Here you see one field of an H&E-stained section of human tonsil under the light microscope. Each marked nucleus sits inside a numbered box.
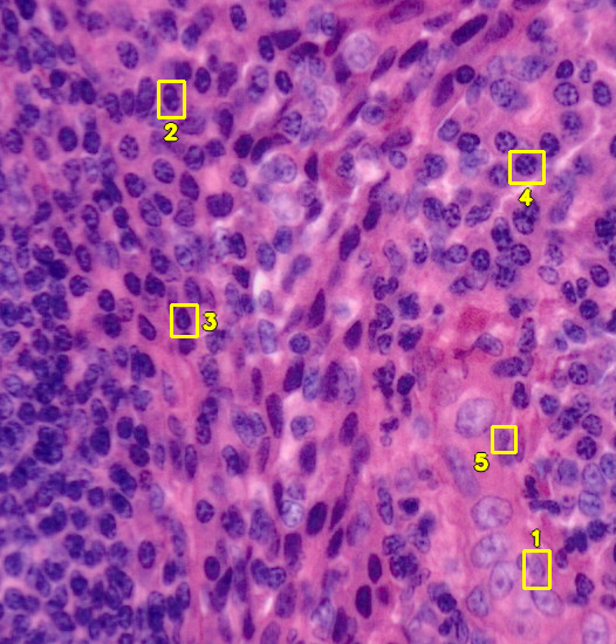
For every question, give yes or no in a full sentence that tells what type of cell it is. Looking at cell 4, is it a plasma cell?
Yes, in this section the cell numbered 4 is a plasma cell.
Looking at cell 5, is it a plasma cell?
No, it is an endothelial cell that is marked with number 5, not a plasma cell.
